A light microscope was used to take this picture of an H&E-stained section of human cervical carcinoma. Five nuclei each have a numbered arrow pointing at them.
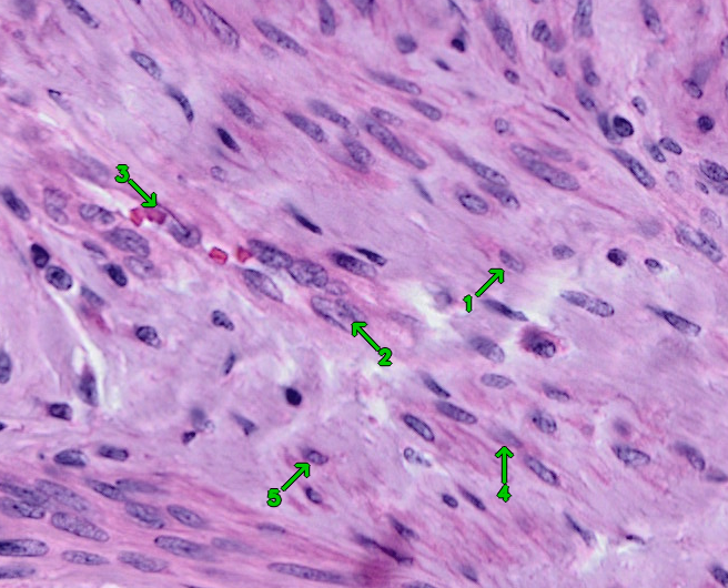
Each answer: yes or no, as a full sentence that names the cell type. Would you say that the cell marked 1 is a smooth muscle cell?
Yes, the cell with the number 1 is a smooth muscle cell.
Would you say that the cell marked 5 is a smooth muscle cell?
Yes, that one, number 5, is a smooth muscle cell.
